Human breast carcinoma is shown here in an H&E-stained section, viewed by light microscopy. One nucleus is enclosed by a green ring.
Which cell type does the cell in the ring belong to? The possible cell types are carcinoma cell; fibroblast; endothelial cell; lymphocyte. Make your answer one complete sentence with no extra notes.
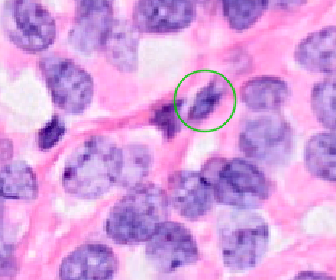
With respect to cell type, the cell in the ring is an endothelial cell.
